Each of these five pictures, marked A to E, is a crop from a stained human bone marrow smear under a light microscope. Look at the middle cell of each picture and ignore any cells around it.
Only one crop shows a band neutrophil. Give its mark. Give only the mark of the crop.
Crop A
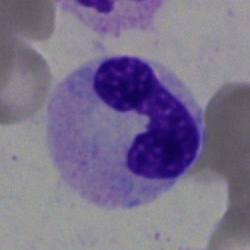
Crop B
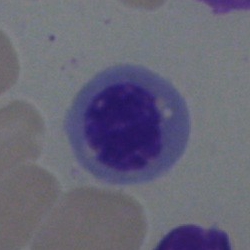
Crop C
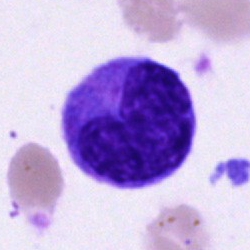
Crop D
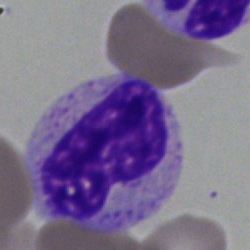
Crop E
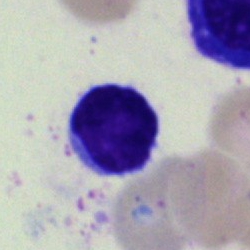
A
